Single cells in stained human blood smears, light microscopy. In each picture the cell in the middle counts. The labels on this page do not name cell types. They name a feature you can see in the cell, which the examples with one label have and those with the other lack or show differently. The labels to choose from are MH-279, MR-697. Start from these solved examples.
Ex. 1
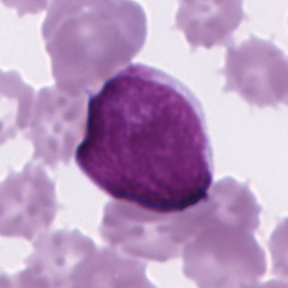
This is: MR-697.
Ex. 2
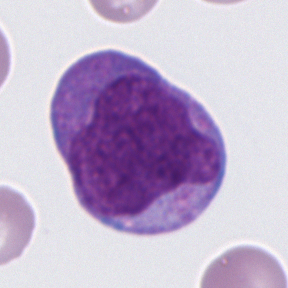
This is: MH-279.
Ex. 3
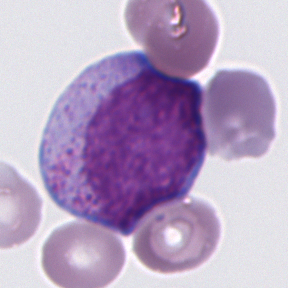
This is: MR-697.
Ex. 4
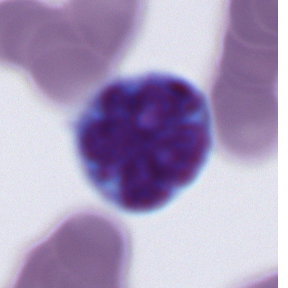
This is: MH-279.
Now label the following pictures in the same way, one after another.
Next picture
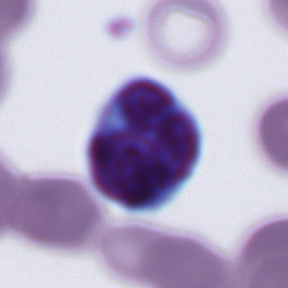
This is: MH-279.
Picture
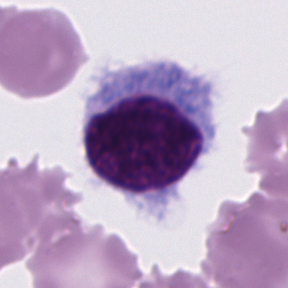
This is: MR-697.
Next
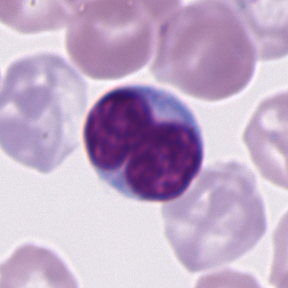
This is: MH-279.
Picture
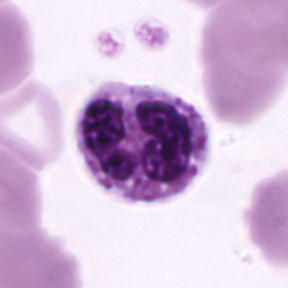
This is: MH-279.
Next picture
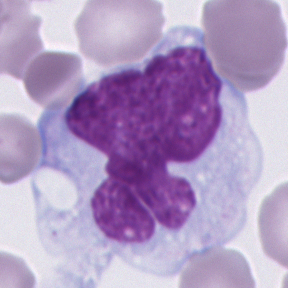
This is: MH-279.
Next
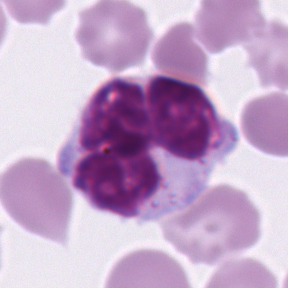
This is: MH-279.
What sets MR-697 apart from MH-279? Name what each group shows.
In MR-697: single compact nucleus. In MH-279: lobed nucleus.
